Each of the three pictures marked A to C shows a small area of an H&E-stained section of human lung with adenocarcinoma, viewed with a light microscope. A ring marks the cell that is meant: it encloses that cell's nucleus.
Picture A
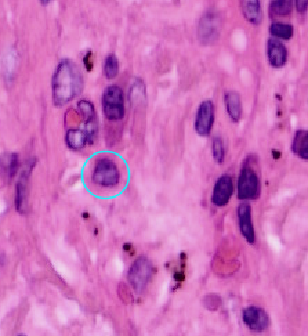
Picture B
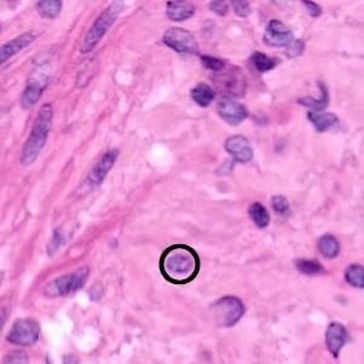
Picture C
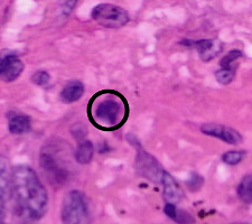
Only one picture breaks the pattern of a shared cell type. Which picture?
C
